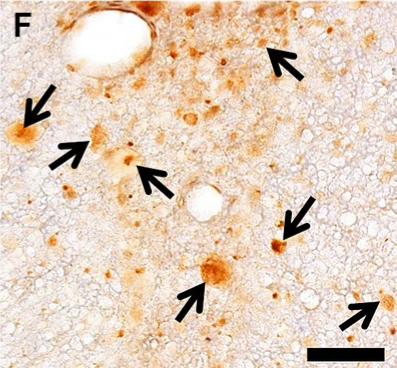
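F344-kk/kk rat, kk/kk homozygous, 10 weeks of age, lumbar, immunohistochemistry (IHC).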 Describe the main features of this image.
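This is spinal cord white matter in cross-section containing many axonal spheroids. The background consists of small, pale, round axon profiles in a faintly stained meshwork. Scattered through it are round brown bodies of varying size, the larger ones with a dense centre and a paler halo, the smaller ones compact dots. They are markedly bigger than the surrounding axon profiles. Two clear round spaces, one large near the top, lie within the field, and brown material gathers near the larger space.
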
